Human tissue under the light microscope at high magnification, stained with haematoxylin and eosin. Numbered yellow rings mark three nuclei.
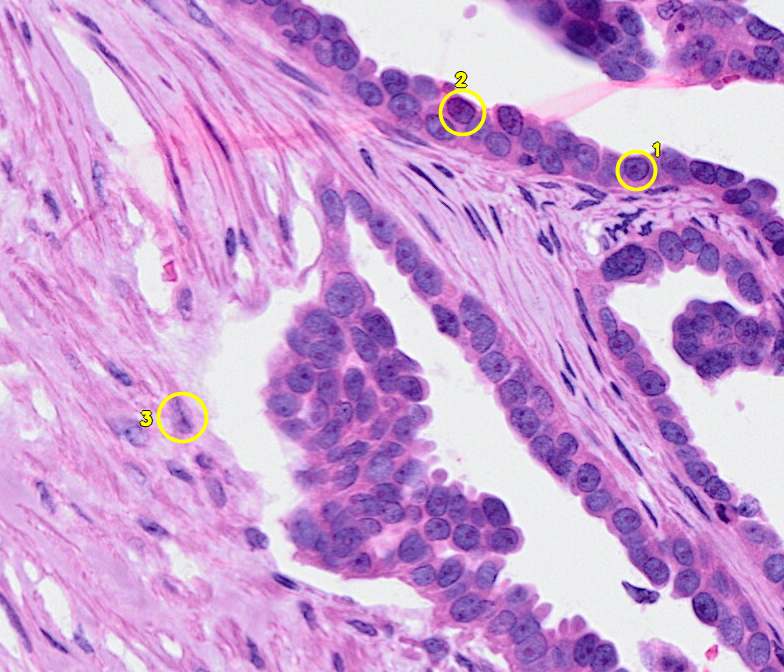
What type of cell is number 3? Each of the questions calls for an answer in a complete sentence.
Numbered cell 3 is a fibroblast in this tissue section.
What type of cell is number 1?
The numbered cell 1 in this field is a carcinoma cell.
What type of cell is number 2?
The cell indicated with the number 2 is classed as a carcinoma cell.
